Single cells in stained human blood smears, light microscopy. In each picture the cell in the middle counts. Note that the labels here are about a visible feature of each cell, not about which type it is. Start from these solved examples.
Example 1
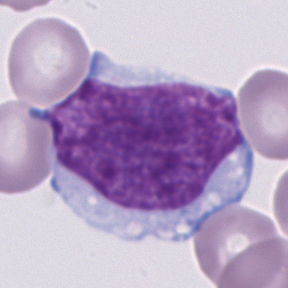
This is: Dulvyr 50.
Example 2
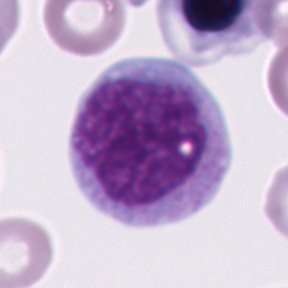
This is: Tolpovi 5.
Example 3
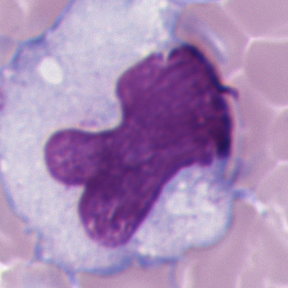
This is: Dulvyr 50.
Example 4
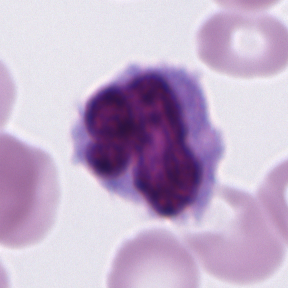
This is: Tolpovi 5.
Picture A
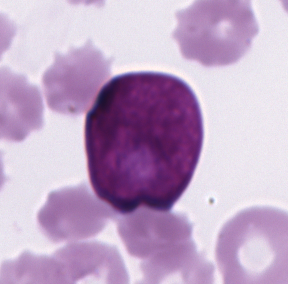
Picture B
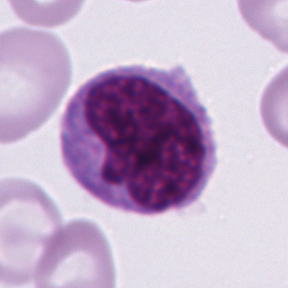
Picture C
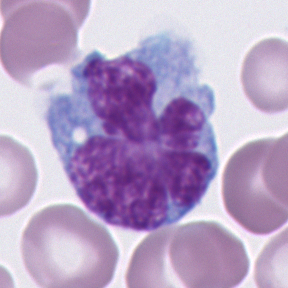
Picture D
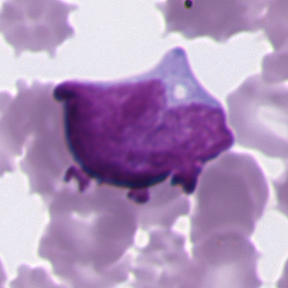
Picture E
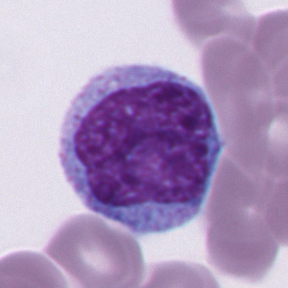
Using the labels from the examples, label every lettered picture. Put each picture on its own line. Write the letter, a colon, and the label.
A: Tolpovi 5.
B: Tolpovi 5.
C: Dulvyr 50.
D: Dulvyr 50.
E: Tolpovi 5.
